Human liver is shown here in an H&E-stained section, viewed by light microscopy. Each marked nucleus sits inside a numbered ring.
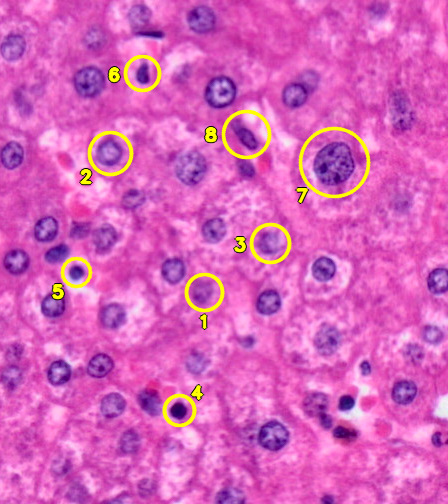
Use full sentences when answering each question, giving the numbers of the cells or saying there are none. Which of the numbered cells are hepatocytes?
In this section, the cells labelled 1, 2, 3 and 7 are hepatocytes.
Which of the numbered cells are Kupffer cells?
The sole numbered cell that is a Kupffer cell is cell 8.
